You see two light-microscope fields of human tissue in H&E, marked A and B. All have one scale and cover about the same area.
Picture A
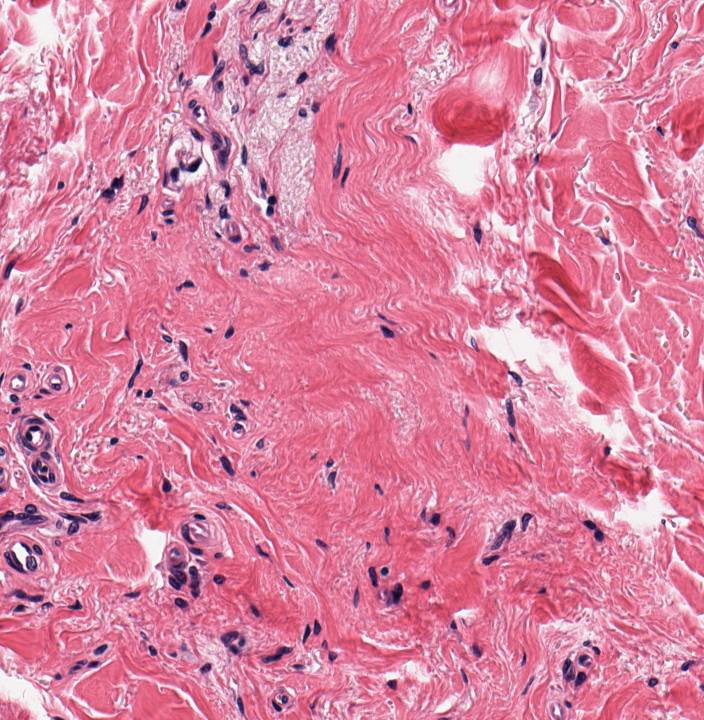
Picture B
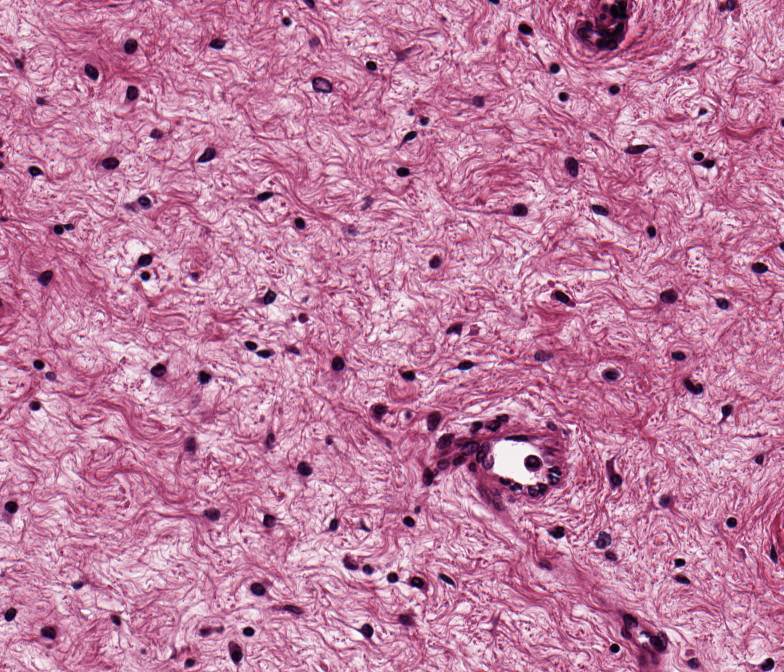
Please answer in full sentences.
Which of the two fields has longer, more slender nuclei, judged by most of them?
Longer, more slender nuclei lie in picture A.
